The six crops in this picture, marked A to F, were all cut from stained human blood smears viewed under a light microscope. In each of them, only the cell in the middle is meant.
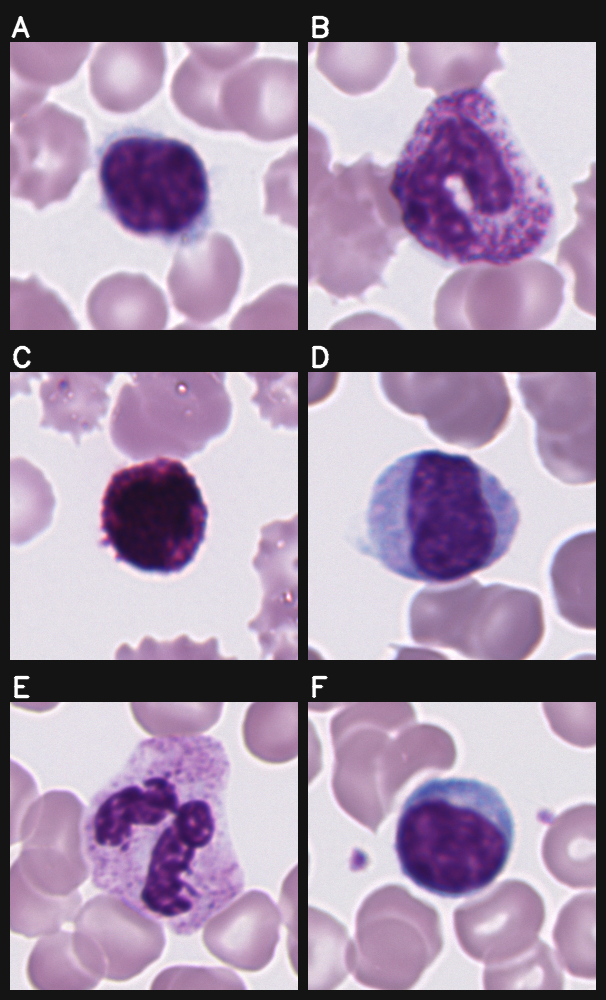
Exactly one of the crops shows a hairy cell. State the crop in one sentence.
Crop A is the crop featuring a hairy cell at its center.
